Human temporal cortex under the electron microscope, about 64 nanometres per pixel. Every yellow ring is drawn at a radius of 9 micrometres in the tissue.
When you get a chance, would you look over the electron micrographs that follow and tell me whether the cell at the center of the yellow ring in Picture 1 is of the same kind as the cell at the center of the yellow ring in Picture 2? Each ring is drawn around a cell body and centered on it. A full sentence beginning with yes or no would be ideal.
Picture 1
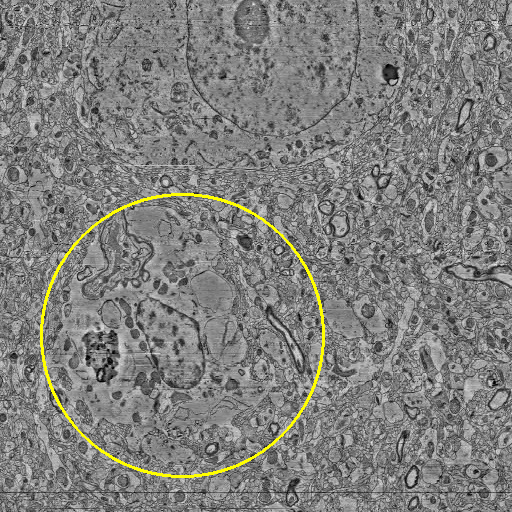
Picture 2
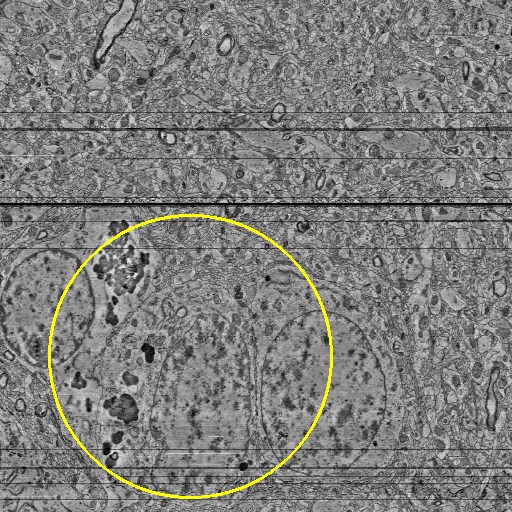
No, they are two kinds of cell.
